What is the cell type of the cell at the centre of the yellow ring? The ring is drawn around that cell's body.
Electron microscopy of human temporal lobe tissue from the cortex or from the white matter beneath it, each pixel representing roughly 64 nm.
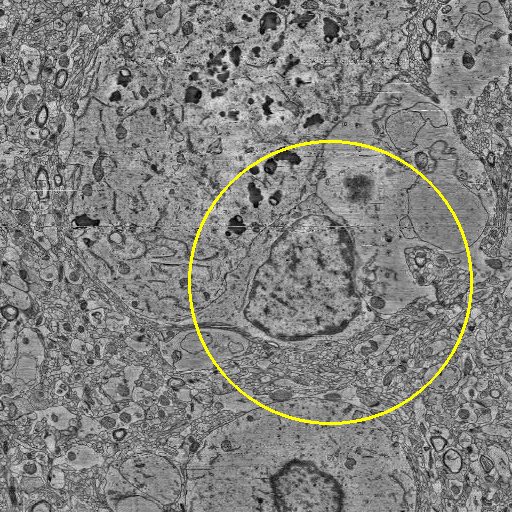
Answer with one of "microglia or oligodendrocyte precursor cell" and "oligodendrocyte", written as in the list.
microglia or oligodendrocyte precursor cell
